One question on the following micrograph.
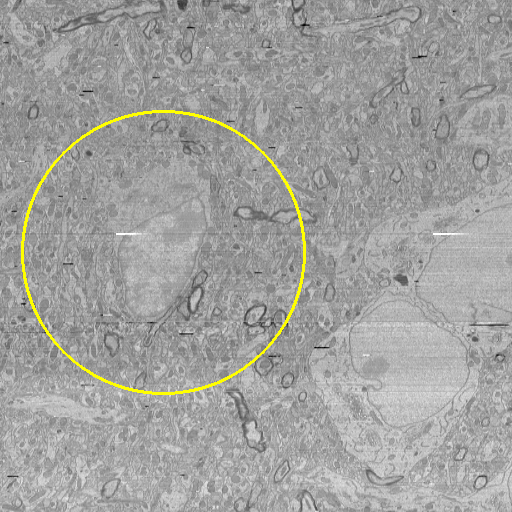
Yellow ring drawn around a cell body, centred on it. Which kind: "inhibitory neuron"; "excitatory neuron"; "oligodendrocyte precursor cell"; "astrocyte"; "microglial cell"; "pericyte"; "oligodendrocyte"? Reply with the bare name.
oligodendrocyte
